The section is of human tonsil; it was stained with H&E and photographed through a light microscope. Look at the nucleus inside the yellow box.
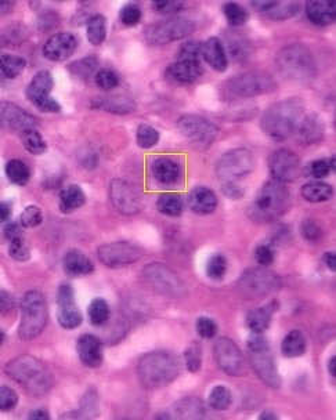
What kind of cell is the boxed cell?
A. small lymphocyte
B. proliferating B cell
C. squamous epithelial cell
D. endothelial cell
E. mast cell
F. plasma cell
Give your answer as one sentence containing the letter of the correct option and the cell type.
Option F wins here: the boxed cell is a plasma cell.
